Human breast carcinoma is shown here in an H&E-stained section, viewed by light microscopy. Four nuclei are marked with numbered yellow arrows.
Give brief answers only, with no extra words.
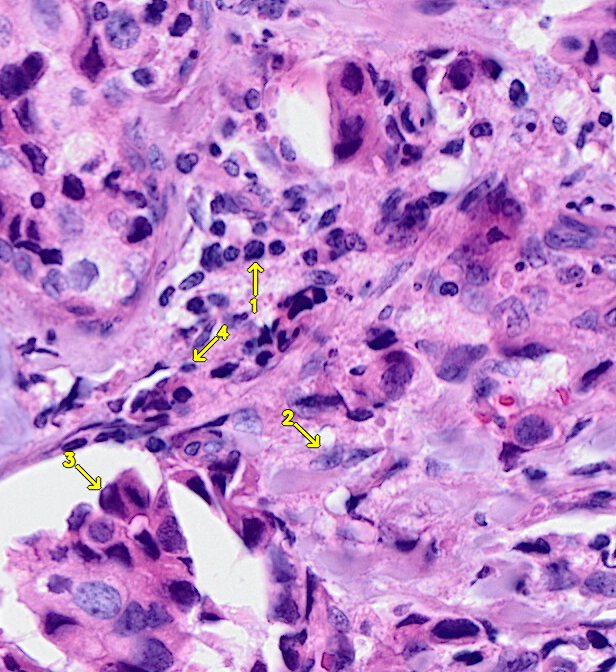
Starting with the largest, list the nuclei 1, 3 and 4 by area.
3, 1, 4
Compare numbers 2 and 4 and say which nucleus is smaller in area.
4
